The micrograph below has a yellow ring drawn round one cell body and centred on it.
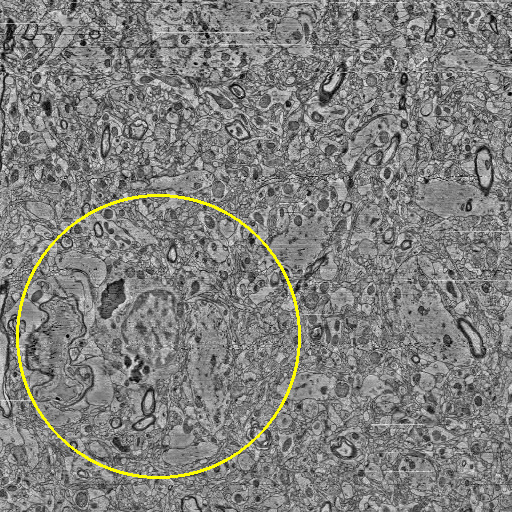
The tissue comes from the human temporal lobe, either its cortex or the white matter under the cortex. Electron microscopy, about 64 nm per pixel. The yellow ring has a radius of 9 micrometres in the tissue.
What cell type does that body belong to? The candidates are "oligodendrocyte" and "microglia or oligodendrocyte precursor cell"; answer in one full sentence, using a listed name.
This is an oligodendrocyte, the cell whose body lies at the centre of the ring.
